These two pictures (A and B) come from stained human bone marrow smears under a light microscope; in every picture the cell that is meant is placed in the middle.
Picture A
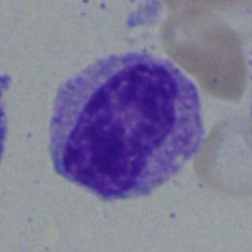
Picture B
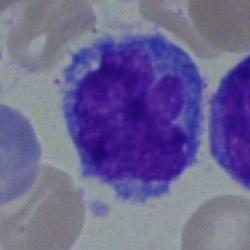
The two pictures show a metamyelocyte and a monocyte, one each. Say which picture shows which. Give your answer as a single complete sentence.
The cell in picture A is a metamyelocyte, and the one in picture B is a monocyte.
